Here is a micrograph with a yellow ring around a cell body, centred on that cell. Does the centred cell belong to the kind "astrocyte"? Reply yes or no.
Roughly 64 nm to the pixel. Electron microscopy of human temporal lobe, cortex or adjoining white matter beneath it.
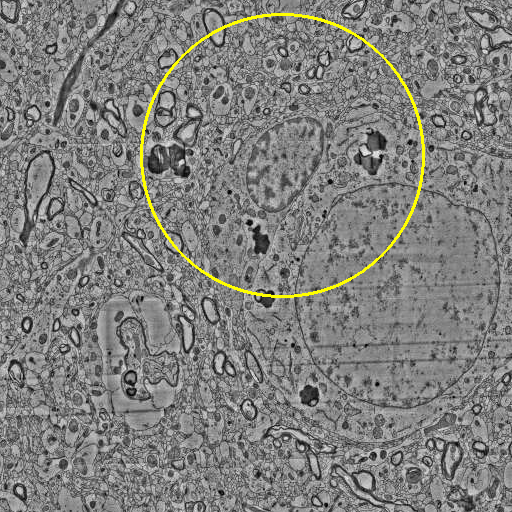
no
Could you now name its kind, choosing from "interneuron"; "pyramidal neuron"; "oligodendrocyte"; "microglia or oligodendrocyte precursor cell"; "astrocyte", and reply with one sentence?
Instead, what sits at the centre of the ring is an oligodendrocyte.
